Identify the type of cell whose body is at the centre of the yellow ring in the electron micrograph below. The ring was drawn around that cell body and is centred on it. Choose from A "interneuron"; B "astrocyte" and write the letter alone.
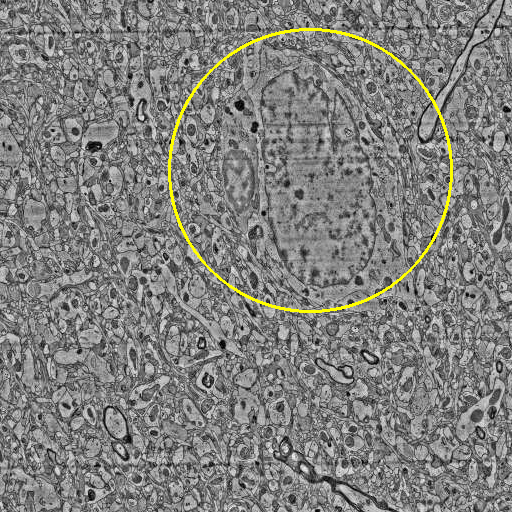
A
